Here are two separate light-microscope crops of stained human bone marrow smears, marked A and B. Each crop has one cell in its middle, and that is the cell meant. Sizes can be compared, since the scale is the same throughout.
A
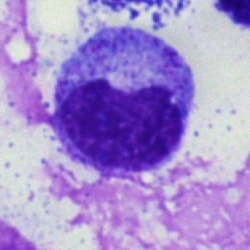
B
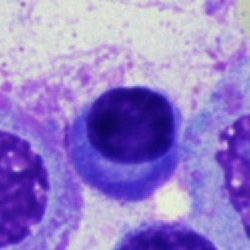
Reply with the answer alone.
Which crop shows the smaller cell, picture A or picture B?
B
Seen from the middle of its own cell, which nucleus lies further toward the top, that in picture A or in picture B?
B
